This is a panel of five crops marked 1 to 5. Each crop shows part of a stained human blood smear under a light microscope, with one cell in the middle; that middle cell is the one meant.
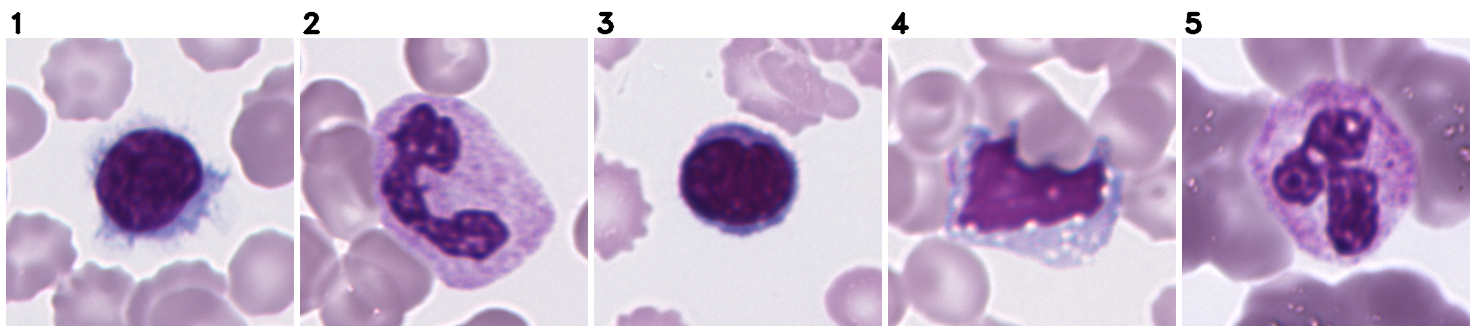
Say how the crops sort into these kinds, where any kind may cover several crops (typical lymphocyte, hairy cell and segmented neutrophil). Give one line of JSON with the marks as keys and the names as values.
{"1": "hairy cell", "2": "segmented neutrophil", "3": "typical lymphocyte", "4": "typical lymphocyte", "5": "segmented neutrophil"}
